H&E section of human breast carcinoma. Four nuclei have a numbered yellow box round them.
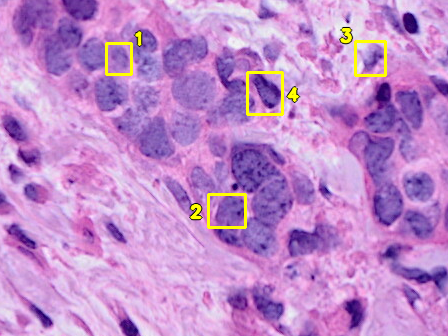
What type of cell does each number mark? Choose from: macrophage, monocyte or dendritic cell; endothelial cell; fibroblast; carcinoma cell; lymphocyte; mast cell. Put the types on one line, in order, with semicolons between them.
carcinoma cell; carcinoma cell; fibroblast; carcinoma cell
